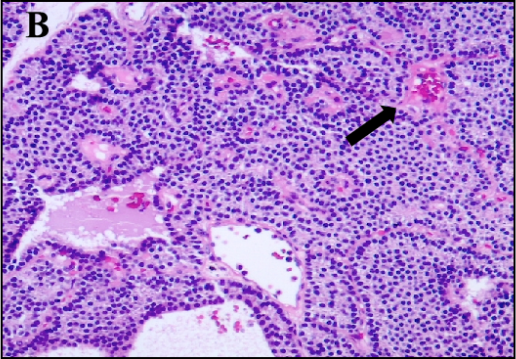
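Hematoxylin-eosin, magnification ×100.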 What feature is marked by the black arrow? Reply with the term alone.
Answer: Palisade arrangement around blood vessels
